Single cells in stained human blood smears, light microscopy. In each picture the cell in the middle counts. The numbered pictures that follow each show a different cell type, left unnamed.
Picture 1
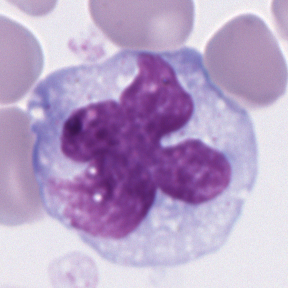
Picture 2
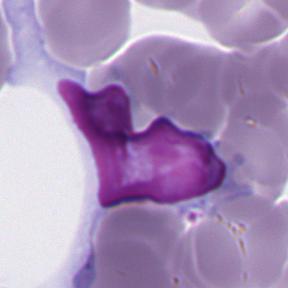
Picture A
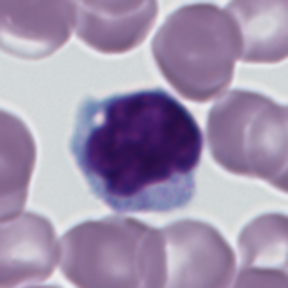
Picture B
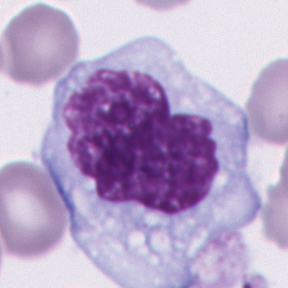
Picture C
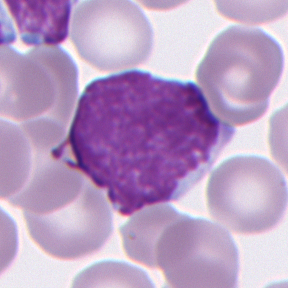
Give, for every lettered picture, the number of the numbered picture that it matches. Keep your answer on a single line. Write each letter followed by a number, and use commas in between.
A 2, B 1, C 2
